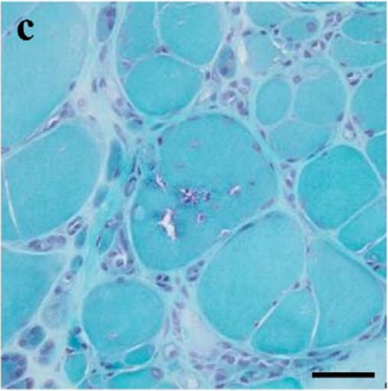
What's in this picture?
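This is skeletal muscle in cross section, with myofibers stained blue-green and nuclei purple. Fiber size varies a lot: large rounded fibers sit beside much smaller ones. A large fiber in the middle contains a clear vacuole lined with red-purple granular material, the look of a rimmed vacuole. Some fibers show nuclei lying inside the fiber rather than at its edge.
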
